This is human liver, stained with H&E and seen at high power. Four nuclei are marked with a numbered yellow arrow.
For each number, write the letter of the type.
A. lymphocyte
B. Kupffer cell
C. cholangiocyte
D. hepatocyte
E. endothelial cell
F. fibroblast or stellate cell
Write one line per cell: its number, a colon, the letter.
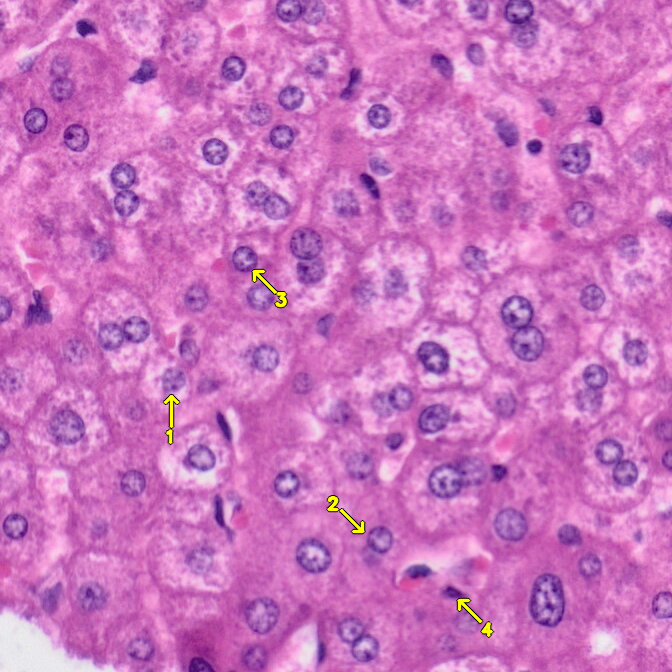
1: D
2: D
3: D
4: F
